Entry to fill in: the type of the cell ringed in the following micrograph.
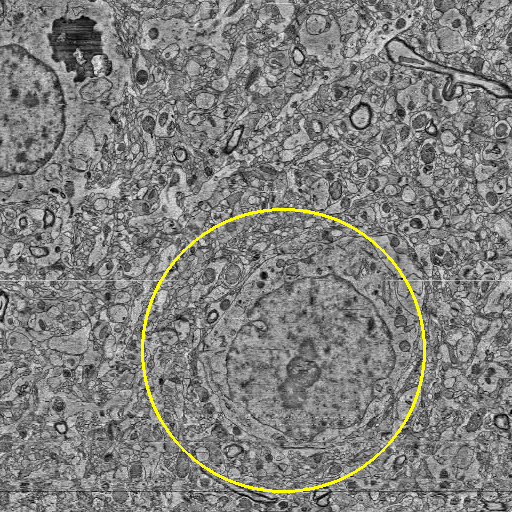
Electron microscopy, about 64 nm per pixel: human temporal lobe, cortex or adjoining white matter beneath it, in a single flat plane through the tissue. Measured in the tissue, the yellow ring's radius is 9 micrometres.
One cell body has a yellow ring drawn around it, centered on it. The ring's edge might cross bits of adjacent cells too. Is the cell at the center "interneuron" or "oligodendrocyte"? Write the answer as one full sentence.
This entry names an interneuron as the cell whose body lies at the ring's center.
